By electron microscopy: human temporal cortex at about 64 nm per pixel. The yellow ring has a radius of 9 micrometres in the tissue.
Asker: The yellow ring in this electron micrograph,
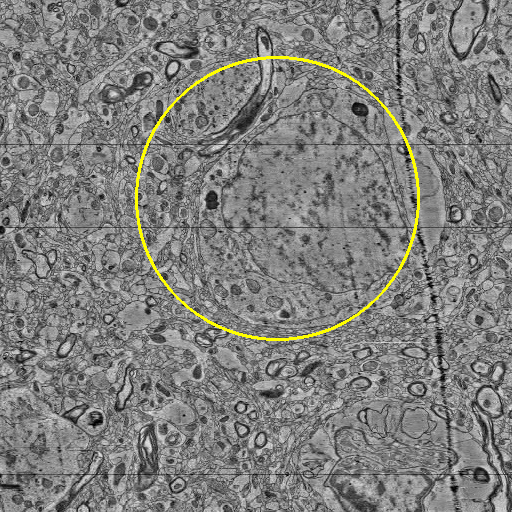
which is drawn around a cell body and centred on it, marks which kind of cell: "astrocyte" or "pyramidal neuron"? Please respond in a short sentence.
The marked cell is a pyramidal neuron.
